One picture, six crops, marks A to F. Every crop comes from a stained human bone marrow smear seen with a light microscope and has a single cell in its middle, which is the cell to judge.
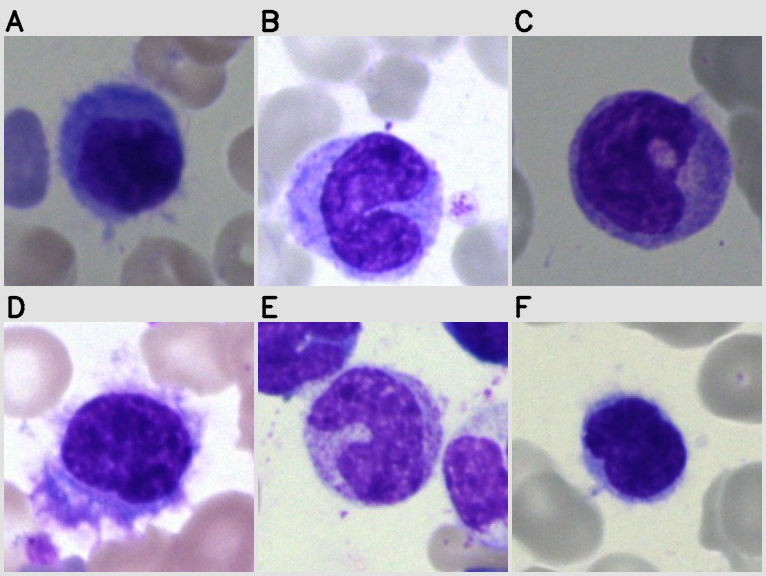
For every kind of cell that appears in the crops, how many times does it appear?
hairy cell: 3
monocyte: 2
band neutrophil: 1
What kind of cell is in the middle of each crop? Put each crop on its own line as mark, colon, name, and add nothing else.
A: hairy cell
B: monocyte
C: monocyte
D: hairy cell
E: band neutrophil
F: hairy cell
